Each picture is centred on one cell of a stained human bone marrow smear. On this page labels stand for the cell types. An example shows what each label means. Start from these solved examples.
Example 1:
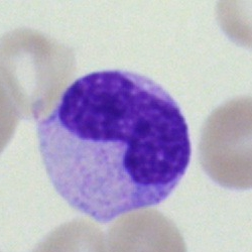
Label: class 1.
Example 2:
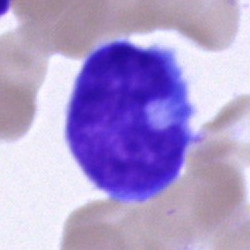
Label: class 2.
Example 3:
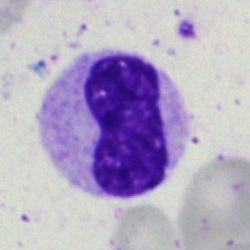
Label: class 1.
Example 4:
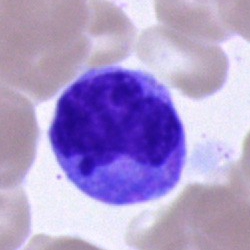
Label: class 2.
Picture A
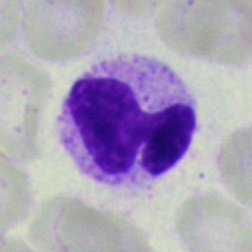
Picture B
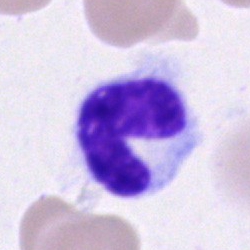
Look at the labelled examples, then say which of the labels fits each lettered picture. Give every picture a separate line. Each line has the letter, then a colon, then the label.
A: class 1.
B: class 1.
